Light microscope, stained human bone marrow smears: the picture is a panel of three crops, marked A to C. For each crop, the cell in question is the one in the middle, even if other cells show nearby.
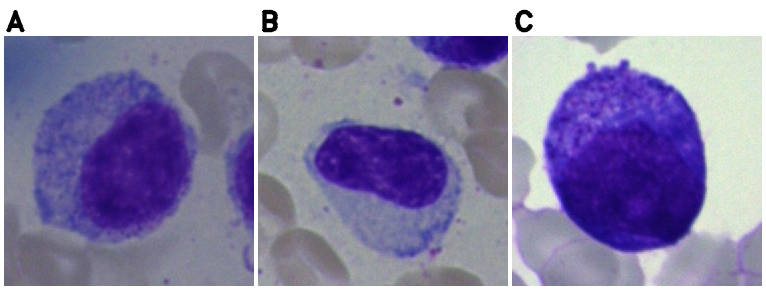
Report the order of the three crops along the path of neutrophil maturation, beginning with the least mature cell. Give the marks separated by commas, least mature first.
C, A, B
